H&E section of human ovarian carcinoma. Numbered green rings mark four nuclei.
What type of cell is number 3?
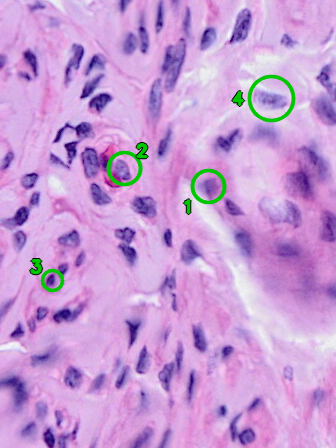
smooth muscle cell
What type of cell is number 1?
smooth muscle cell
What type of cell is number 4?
fibroblast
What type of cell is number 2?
endothelial cell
